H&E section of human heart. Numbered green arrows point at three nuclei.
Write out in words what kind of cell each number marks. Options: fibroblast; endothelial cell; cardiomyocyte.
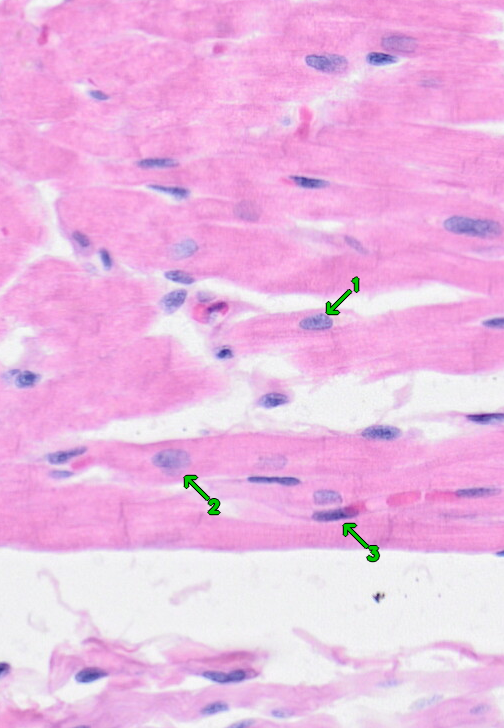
Cell 1 is a cardiomyocyte, cell 2 is a cardiomyocyte and cell 3 is an endothelial cell.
